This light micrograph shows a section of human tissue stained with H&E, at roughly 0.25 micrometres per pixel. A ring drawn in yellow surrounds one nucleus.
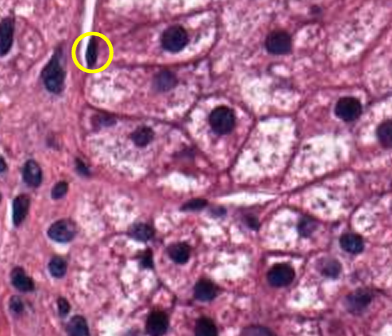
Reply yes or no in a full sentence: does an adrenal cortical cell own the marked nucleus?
No, it is a supporting cell whose nucleus is marked, not an adrenal cortical cell.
